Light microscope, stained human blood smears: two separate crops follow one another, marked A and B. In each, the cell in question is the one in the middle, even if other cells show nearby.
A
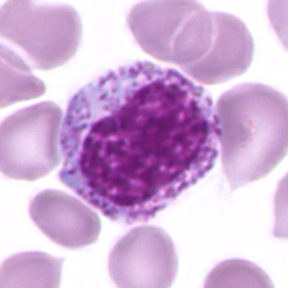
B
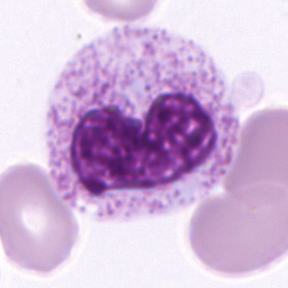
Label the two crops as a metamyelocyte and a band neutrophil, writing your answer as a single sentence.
Shown in crop A is a metamyelocyte, and shown in crop B is a band neutrophil.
